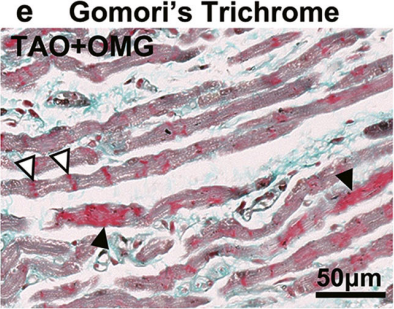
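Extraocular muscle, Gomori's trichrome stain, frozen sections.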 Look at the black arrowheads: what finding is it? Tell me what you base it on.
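Focal aggregation. The black arrowheads point to dense clumps of red material within fibers. These red clumps are larger and more intense than the red material elsewhere.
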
